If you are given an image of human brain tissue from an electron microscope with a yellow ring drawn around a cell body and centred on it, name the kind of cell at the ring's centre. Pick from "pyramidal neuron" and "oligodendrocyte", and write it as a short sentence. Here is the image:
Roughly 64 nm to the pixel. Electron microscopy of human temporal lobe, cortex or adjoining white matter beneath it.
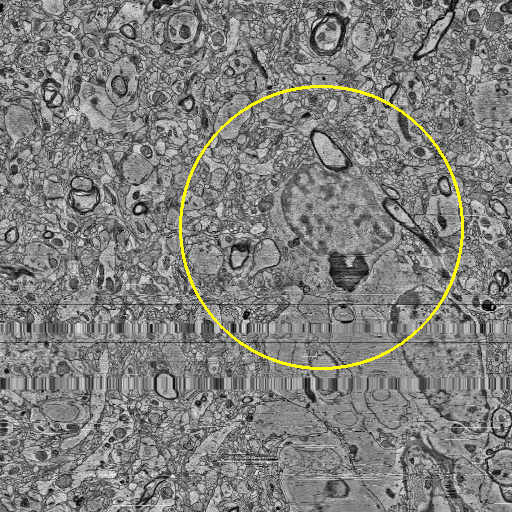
The cell at the ring's centre is an oligodendrocyte.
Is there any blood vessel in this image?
Yes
